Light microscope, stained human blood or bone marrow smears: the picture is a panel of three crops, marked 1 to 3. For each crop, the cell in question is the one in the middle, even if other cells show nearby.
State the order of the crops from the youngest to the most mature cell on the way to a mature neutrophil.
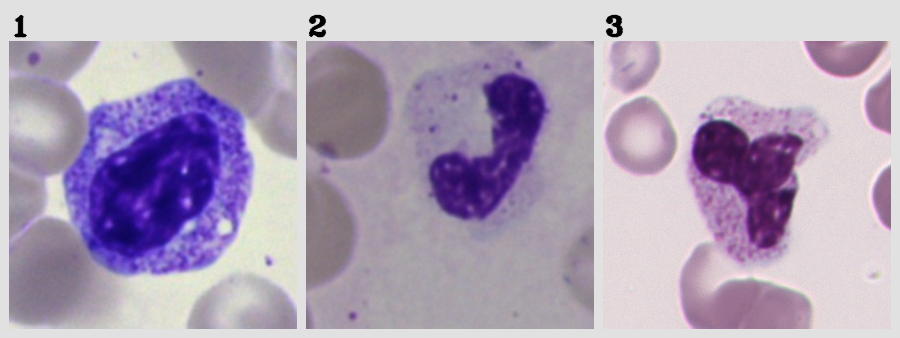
1, 2, 3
